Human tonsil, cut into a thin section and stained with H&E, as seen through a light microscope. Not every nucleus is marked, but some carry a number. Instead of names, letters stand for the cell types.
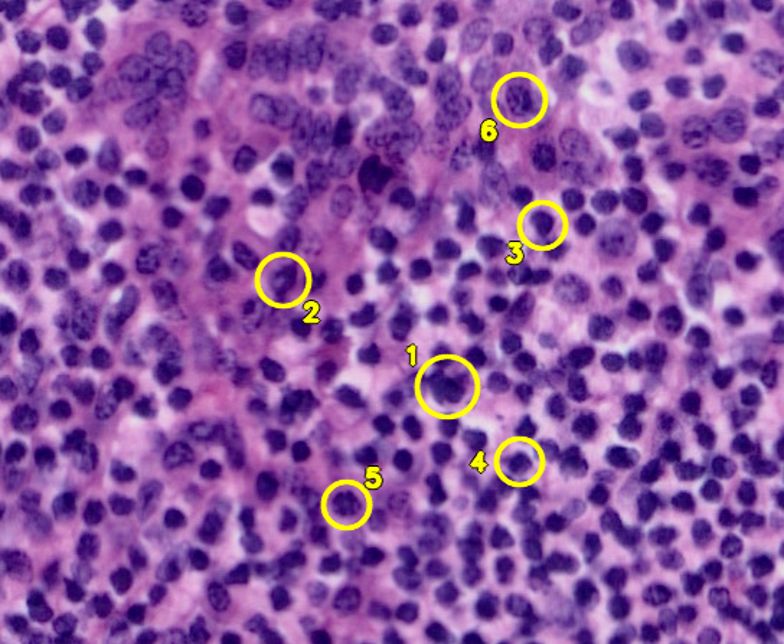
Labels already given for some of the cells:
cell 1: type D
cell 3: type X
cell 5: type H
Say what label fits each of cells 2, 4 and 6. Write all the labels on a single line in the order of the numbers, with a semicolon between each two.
type H; type X; type H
